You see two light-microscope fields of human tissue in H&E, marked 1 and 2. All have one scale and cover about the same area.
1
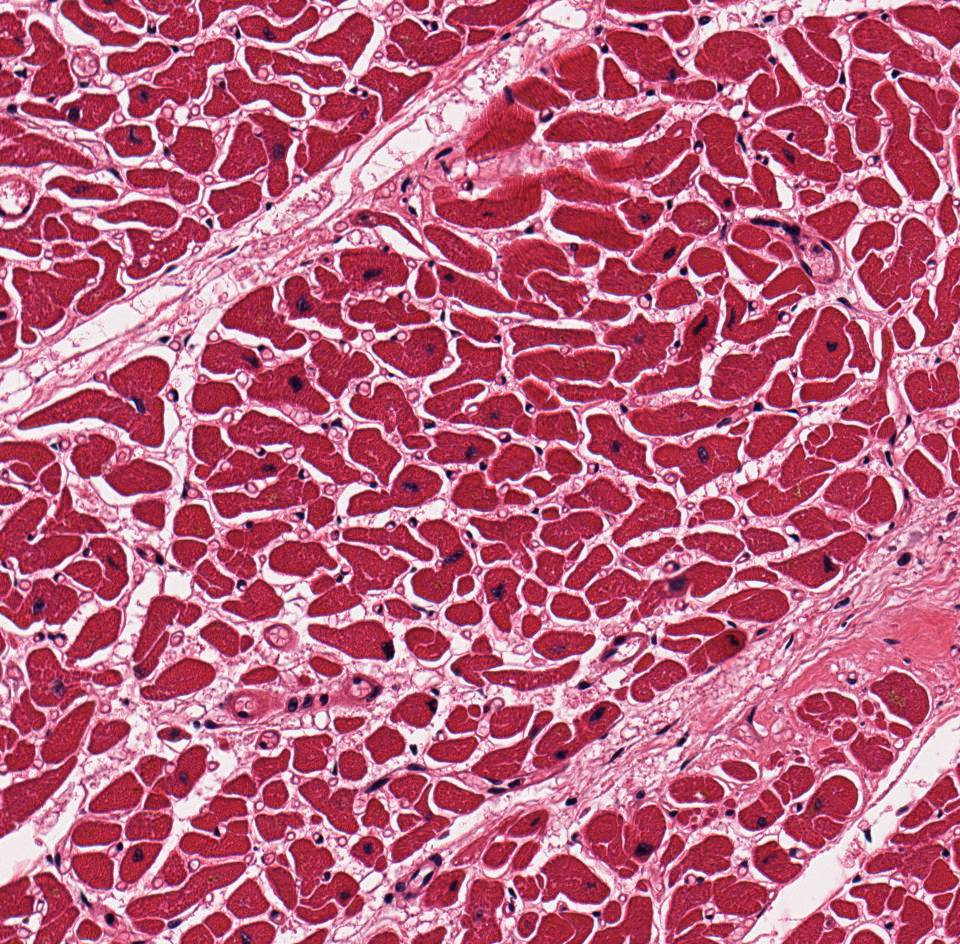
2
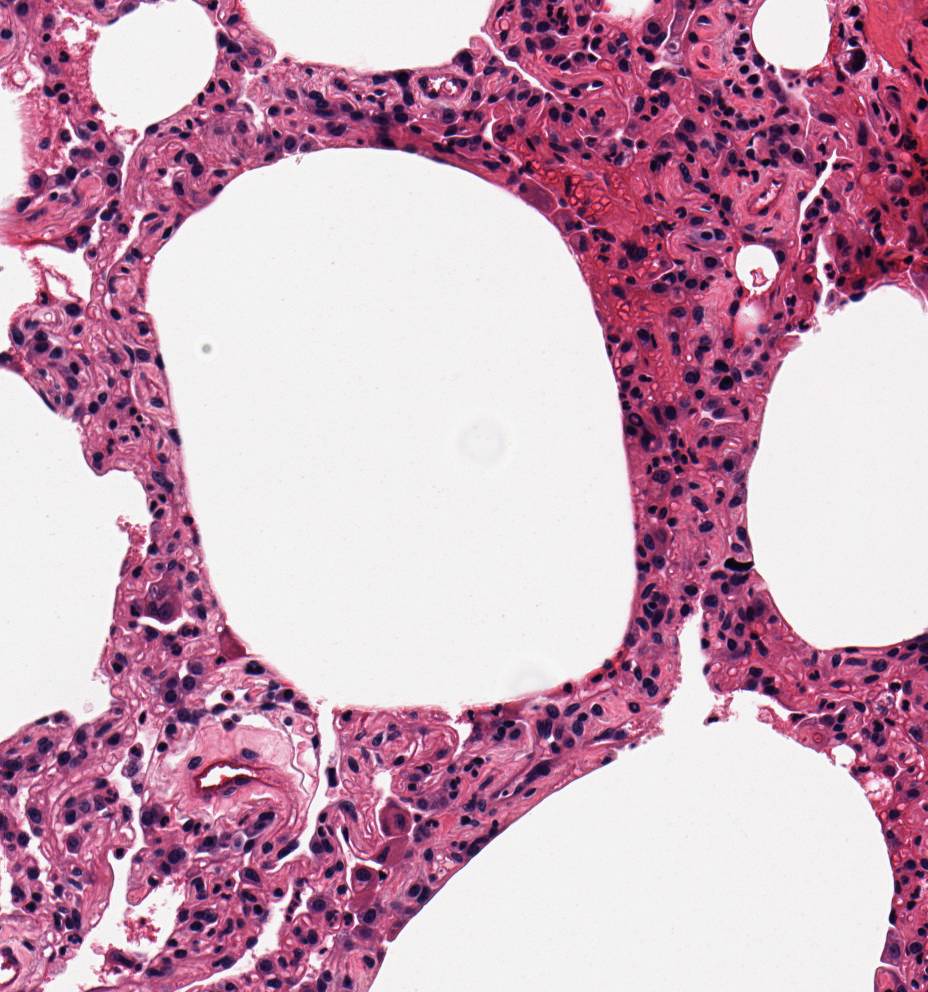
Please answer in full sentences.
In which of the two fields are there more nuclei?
There are more nuclei in field 2.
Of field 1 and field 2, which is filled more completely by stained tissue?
Unstained space takes up less of field 1 than of field 2.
